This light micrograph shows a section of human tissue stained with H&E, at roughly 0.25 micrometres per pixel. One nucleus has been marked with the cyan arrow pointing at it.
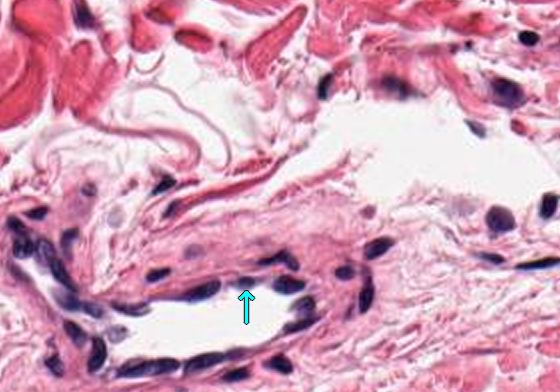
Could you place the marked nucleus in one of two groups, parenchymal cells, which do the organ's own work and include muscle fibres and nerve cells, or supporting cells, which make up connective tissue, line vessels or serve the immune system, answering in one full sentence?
The cell to which the marked nucleus belongs is a supporting cell.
